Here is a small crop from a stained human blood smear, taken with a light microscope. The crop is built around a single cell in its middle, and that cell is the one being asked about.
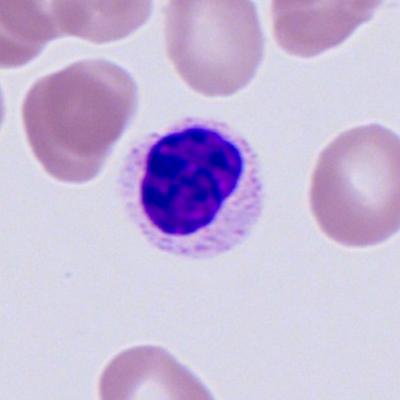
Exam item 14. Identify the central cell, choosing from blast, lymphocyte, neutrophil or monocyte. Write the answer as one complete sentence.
By classification, the middle cell of this crop is a neutrophil.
